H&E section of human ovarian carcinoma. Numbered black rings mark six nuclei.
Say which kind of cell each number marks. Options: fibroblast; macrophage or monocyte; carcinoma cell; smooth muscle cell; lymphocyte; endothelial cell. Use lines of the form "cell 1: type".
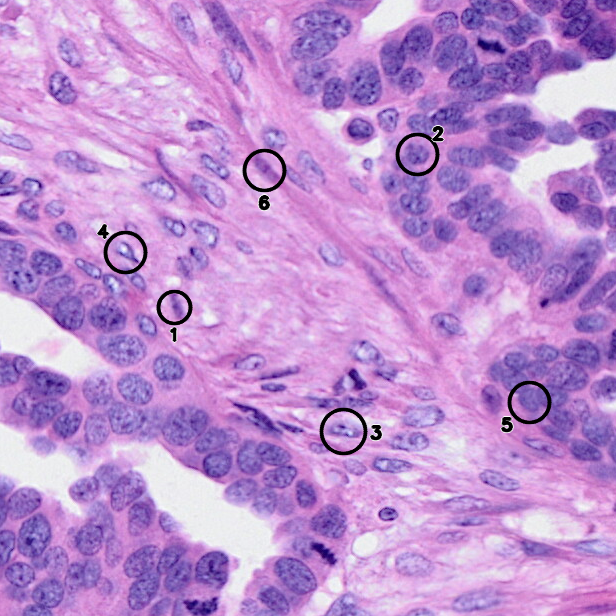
cell 1: fibroblast
cell 2: carcinoma cell
cell 3: fibroblast
cell 4: fibroblast
cell 5: carcinoma cell
cell 6: fibroblast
